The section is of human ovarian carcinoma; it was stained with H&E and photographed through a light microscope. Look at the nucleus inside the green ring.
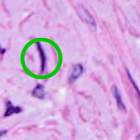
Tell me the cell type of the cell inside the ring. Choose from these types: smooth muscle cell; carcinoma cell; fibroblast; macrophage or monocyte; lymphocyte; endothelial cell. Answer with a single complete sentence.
The cell inside the ring is a fibroblast.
